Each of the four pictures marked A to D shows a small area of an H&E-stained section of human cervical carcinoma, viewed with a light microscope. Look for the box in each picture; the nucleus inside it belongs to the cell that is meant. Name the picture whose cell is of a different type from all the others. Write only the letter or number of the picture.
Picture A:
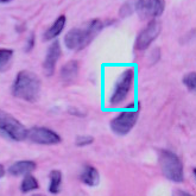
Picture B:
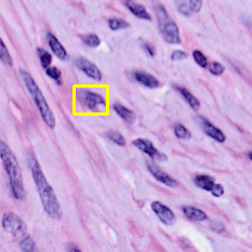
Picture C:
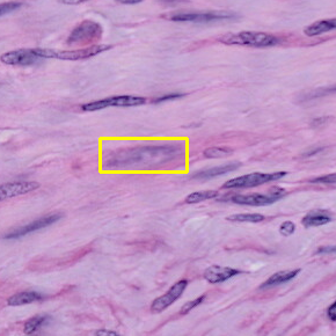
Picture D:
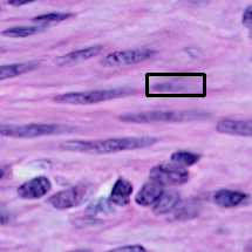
A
